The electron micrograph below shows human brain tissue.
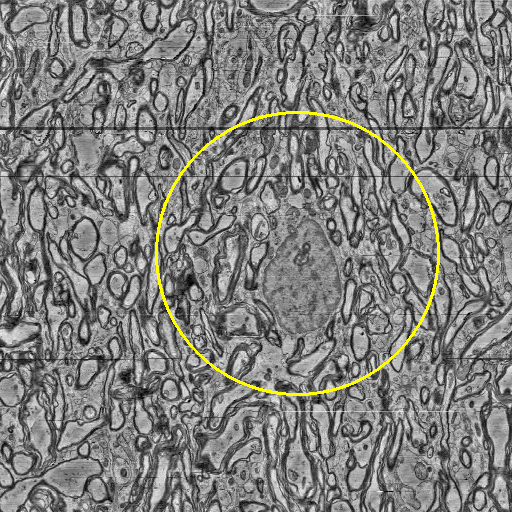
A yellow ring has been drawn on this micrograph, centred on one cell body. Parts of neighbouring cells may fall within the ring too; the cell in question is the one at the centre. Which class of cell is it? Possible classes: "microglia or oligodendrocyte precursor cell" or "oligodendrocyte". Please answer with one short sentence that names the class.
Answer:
In the centre of the ring sits an oligodendrocyte.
